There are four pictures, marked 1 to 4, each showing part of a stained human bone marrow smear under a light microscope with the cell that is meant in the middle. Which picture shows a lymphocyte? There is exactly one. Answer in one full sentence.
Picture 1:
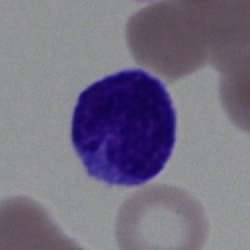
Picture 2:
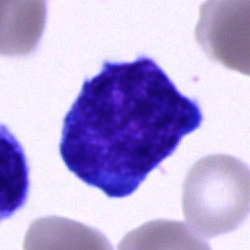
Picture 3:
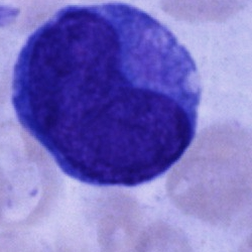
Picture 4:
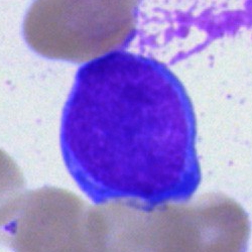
The picture with the lymphocyte is 1.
